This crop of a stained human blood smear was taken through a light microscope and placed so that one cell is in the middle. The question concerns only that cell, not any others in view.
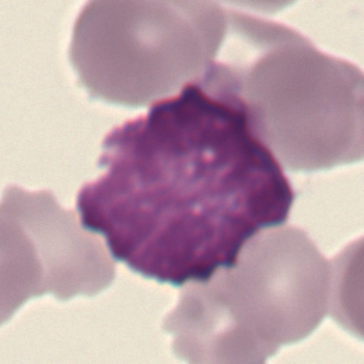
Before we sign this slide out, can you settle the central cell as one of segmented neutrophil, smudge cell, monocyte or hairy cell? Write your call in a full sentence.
Located at the centre of the crop is a smudge cell.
